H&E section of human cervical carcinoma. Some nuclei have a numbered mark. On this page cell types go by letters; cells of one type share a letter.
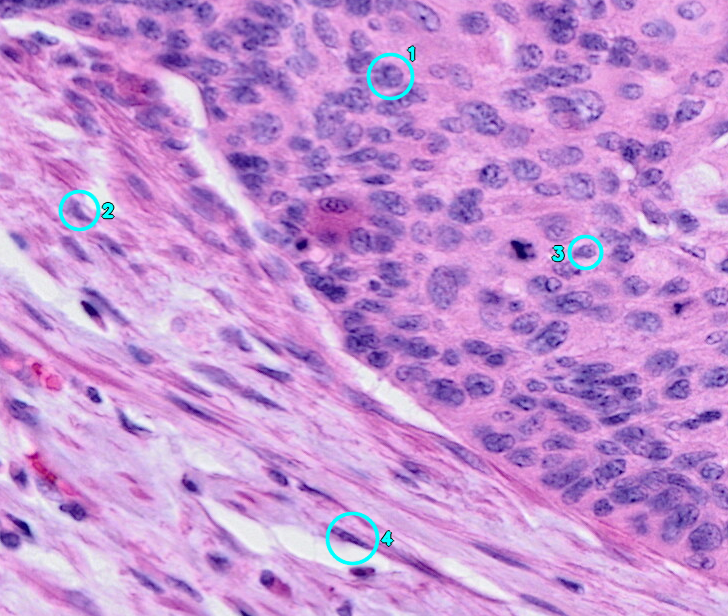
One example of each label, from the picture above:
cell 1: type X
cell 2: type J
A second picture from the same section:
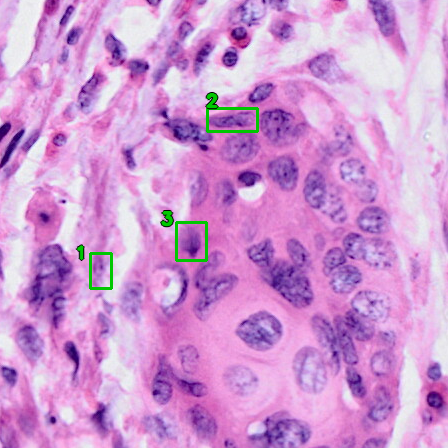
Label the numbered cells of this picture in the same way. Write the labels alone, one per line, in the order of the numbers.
type J
type X
type X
